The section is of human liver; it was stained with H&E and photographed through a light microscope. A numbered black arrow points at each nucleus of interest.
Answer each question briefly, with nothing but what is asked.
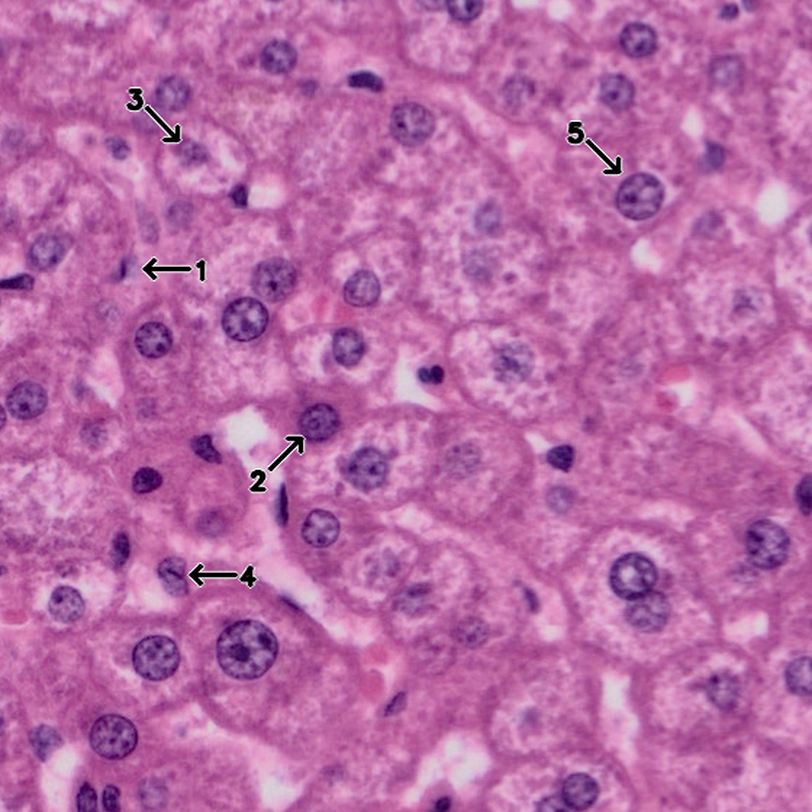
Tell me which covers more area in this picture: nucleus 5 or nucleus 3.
5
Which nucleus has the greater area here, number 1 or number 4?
4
